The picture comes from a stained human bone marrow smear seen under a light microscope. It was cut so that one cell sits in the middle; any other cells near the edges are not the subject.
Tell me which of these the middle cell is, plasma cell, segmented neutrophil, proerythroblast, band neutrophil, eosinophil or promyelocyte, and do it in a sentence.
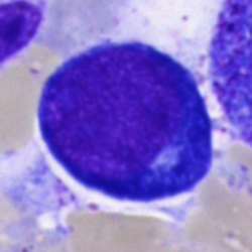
The cell at the middle of the frame should be recorded as a proerythroblast.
